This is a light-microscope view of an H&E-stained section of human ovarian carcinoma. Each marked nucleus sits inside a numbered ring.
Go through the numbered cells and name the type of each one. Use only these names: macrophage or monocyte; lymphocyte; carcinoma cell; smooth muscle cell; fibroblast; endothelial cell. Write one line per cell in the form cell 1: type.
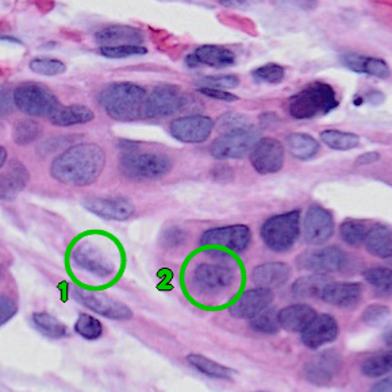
cell 1: fibroblast
cell 2: carcinoma cell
